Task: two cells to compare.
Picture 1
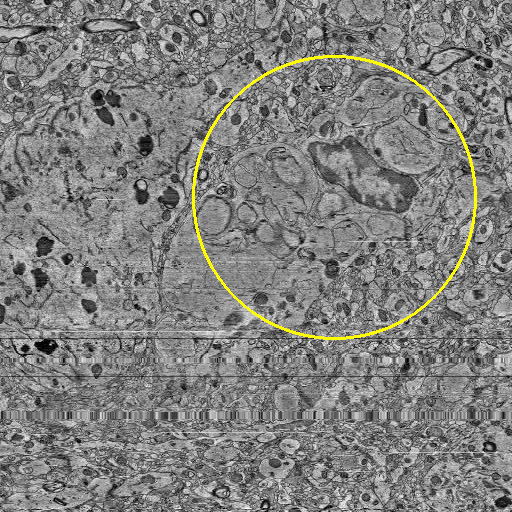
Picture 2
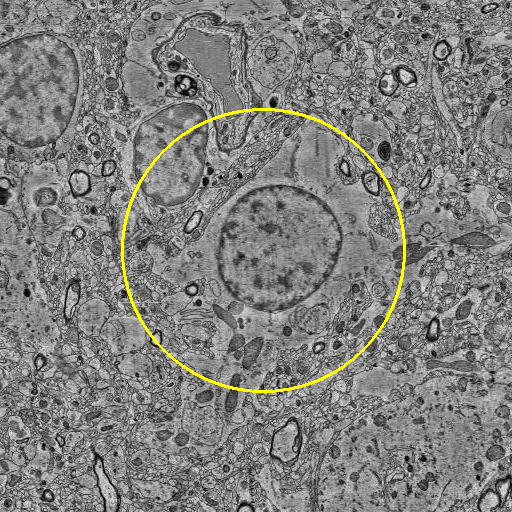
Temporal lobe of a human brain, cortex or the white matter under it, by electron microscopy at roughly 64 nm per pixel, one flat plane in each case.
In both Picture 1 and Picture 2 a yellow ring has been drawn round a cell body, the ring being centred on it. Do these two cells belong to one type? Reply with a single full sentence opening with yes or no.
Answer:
No, the two cells at the ring centres in Picture 1 and Picture 2 are of two types.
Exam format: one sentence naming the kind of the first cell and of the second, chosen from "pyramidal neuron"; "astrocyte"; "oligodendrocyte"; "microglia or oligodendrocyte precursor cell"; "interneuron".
The first picture's cell is a microglial cell or oligodendrocyte precursor cell, and the second picture's cell is an astrocyte.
